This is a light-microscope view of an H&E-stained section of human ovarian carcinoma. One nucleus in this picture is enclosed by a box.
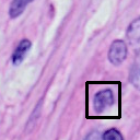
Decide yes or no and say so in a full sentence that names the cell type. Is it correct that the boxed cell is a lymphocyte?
Yes, a lymphocyte is the correct identification for the boxed cell.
